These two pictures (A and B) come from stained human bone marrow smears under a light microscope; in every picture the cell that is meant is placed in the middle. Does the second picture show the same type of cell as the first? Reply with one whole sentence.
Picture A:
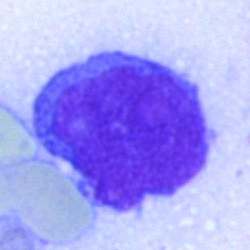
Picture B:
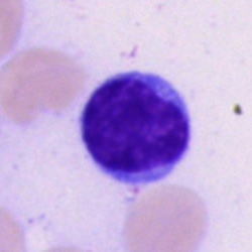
No, the types are not the same, since picture A shows a blast and picture B a lymphocyte.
